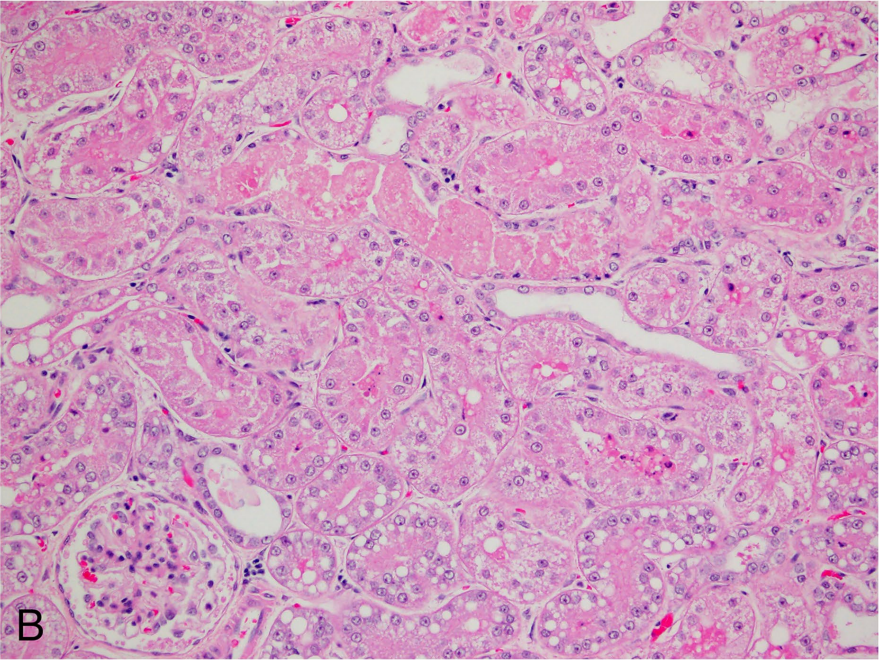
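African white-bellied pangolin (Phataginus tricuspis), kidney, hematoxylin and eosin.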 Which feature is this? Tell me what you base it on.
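Closely packed round to oval profiles lined by a single layer of cuboidal epithelial cells. A glomerulus lies in the lower left corner among these profiles. So: tubules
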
